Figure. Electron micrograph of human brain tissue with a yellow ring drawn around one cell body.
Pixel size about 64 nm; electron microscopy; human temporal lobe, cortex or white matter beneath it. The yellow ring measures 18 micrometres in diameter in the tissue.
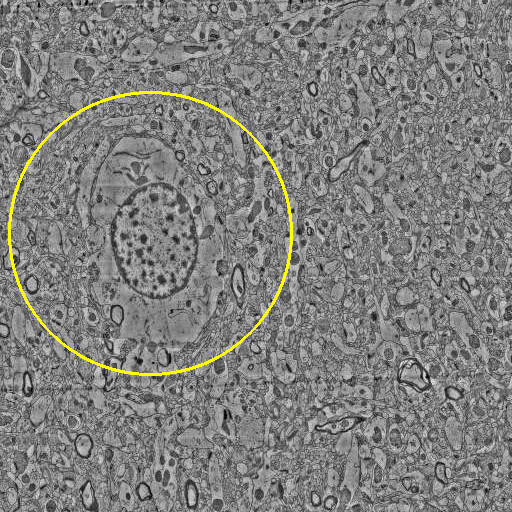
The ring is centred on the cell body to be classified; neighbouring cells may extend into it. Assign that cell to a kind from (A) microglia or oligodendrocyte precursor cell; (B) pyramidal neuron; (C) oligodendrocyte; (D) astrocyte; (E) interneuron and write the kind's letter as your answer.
D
